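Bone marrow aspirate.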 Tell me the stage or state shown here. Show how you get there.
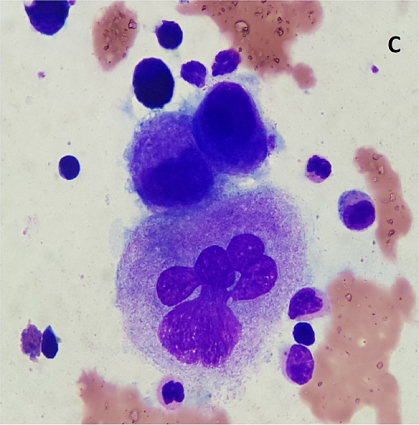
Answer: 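Immature as well as mature megakaryopoiesis. A very large cell with a lobulated nucleus and abundant granular cytoplasm.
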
